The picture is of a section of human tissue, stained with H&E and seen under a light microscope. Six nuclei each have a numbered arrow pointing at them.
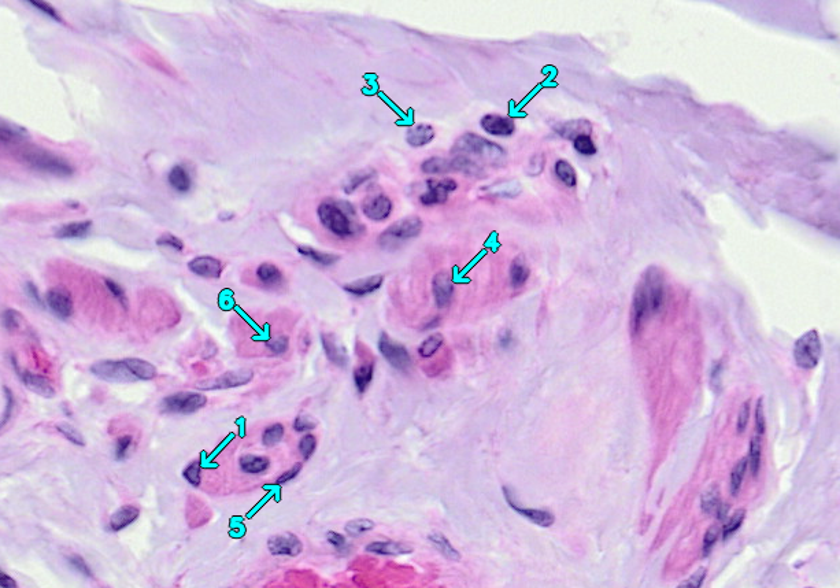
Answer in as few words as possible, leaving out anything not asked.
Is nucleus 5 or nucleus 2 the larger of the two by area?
2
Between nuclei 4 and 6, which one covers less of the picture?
6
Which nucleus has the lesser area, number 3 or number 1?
1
